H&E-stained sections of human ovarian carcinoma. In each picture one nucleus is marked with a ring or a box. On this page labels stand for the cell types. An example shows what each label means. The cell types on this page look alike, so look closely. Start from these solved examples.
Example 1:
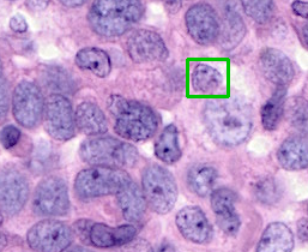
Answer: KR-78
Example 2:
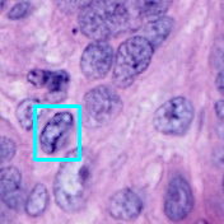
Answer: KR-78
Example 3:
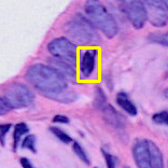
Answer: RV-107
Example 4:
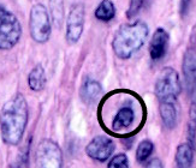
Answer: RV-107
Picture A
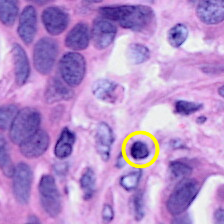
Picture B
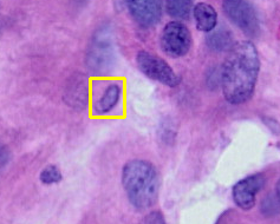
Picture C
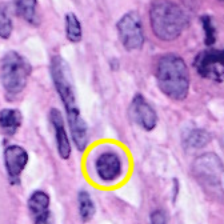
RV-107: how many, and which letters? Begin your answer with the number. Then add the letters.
Count: 2 (A, C)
